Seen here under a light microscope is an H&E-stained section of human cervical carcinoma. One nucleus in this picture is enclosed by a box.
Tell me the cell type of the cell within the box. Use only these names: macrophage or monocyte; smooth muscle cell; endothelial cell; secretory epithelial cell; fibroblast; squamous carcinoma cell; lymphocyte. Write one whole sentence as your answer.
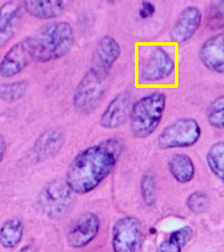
Labelled by cell type, the cell within the box is a squamous carcinoma cell.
